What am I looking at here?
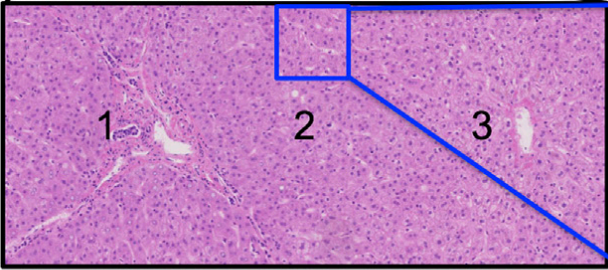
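This is liver tissue at low magnification, showing a stretch of parenchyma from a portal triad to a central vein. On the left, several vessel and duct profiles of different sizes lie grouped in a pale pink band of connective tissue that holds many small dark nuclei. From there, pink plates of hepatocytes with round purple nuclei extend across the field, separated by thin pale spaces. The tissue is otherwise uniform, with no clear gaps or clusters of inflammatory cells.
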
